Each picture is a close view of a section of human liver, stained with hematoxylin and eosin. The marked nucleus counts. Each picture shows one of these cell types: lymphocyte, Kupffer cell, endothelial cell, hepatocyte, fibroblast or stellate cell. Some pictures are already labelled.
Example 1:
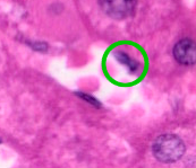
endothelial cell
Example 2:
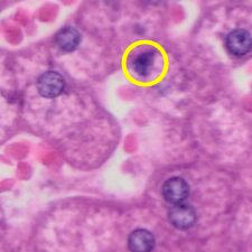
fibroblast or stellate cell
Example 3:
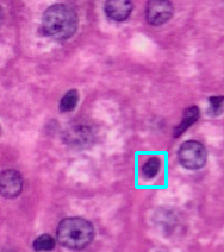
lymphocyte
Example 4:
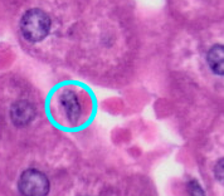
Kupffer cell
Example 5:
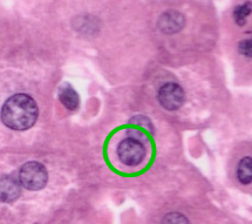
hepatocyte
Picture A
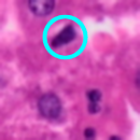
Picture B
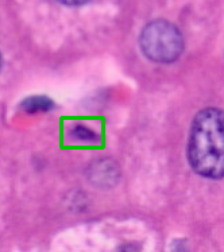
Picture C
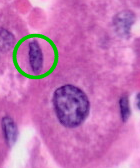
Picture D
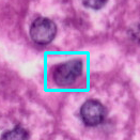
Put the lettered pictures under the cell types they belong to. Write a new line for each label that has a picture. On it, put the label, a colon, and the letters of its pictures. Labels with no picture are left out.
Kupffer cell: D
fibroblast or stellate cell: A, B, C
